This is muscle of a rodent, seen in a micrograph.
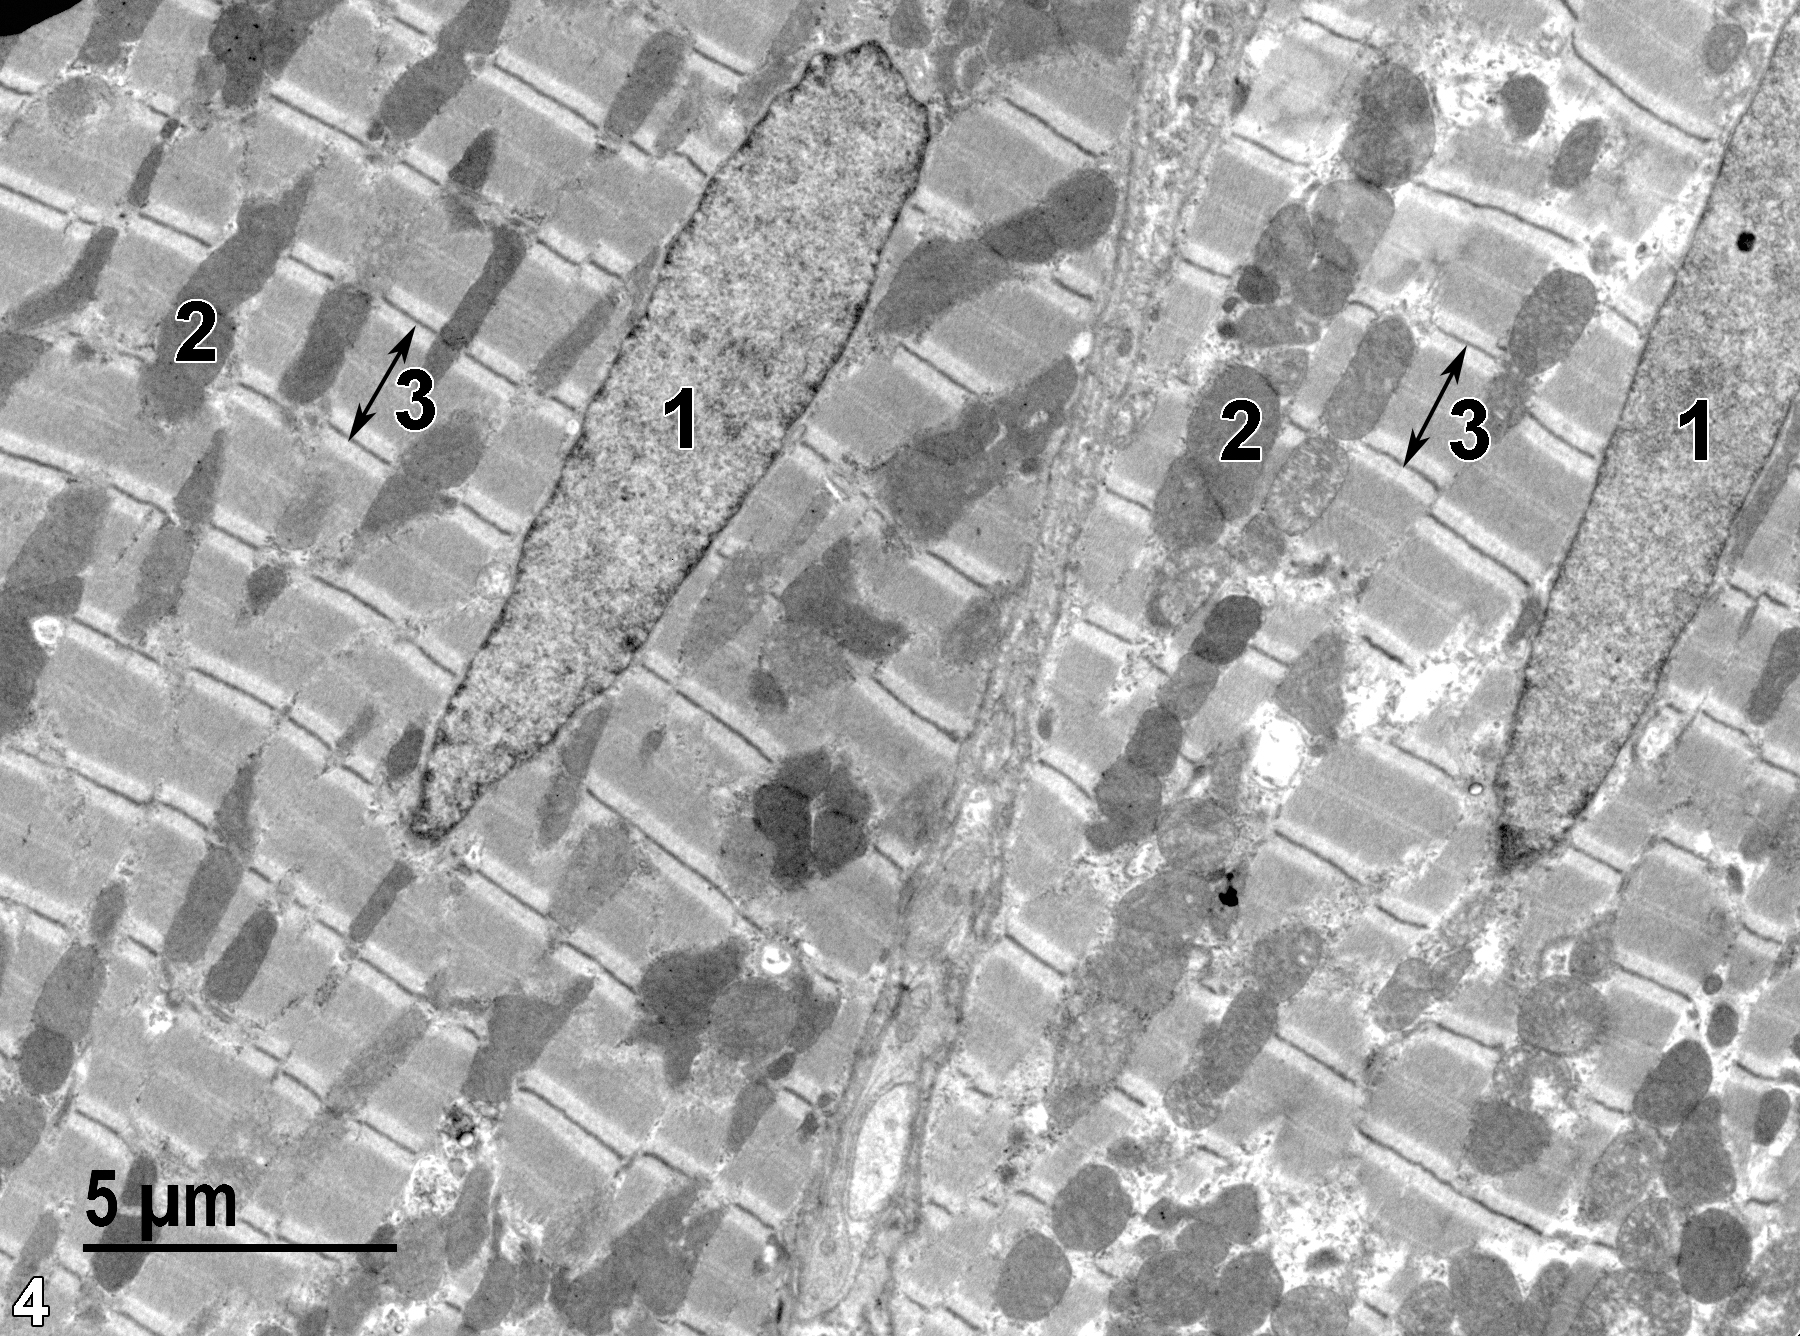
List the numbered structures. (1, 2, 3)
1 nuclei
2 mitochondria
3 sarcomeres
